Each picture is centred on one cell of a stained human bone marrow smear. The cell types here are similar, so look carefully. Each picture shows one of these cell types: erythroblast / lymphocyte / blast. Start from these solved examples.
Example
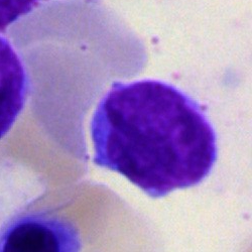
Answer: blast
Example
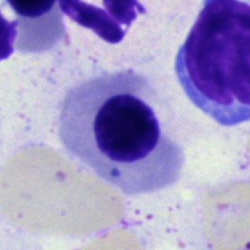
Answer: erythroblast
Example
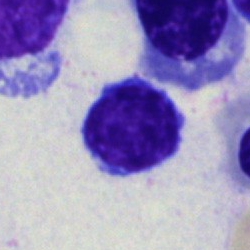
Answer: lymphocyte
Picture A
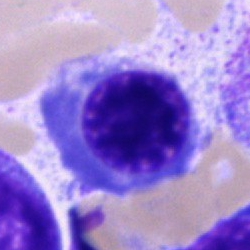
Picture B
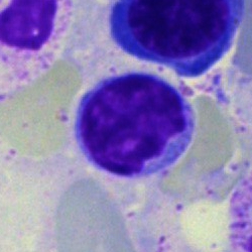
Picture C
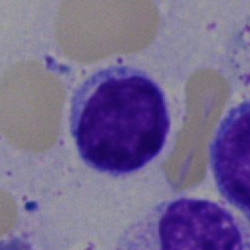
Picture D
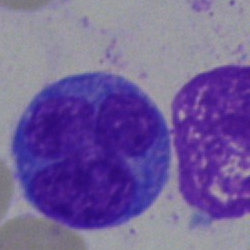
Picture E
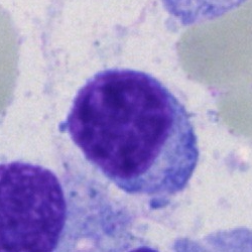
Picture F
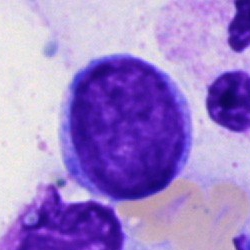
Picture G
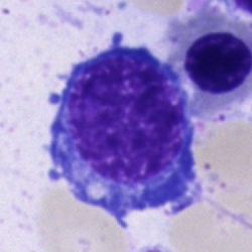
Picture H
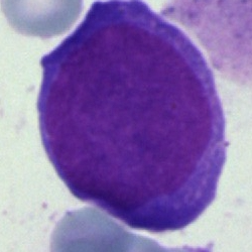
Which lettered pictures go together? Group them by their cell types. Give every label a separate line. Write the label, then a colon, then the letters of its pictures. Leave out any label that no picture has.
erythroblast: A, G
lymphocyte: B, C, E
blast: D, F, H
